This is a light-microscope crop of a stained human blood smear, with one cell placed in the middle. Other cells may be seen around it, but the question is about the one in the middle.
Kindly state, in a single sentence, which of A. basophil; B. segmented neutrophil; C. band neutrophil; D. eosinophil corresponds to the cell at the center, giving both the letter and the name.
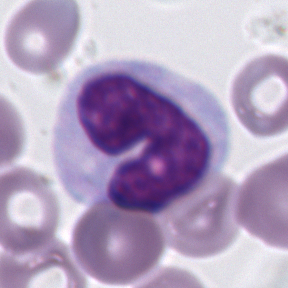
Option C is correct; the cell in the middle is a band neutrophil.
